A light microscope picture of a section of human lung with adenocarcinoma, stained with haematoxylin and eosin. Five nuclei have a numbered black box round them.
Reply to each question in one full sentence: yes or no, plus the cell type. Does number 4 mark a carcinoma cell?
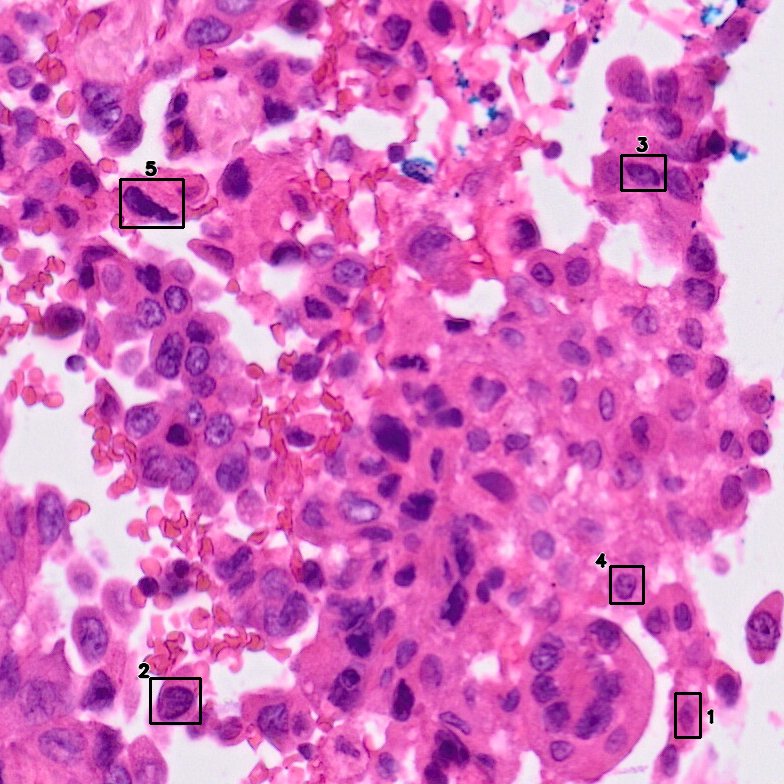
No, cell 4 is a macrophage or monocyte and should not be called a carcinoma cell.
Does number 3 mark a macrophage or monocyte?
No, as for cell 3, it is a carcinoma cell and not a macrophage or monocyte.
